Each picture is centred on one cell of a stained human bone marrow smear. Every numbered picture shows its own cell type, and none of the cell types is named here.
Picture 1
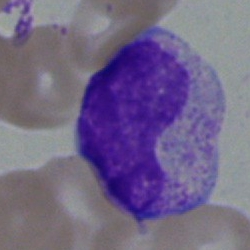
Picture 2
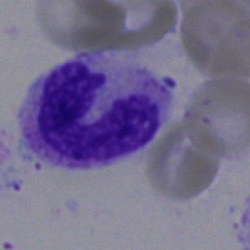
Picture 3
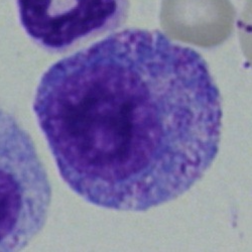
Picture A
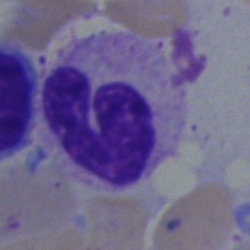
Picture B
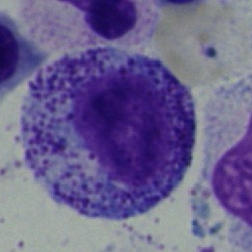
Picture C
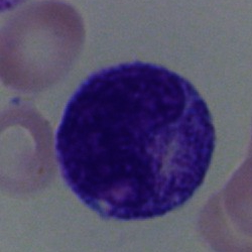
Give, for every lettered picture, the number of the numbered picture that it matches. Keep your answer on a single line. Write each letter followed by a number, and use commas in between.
A 2, B 3, C 3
